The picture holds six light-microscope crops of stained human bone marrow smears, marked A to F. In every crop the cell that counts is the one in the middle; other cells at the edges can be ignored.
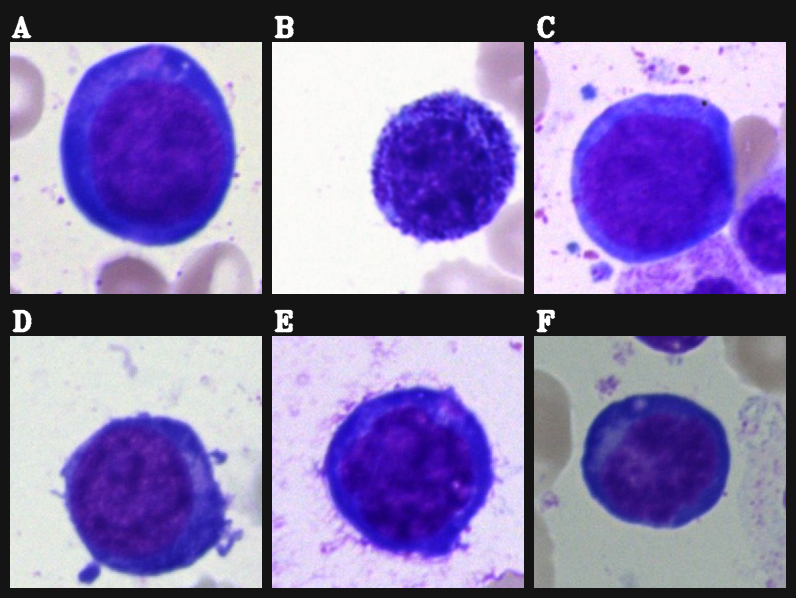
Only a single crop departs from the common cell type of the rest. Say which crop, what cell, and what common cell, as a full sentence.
All of the other crops show proerythroblasts; crop B, by contrast, is a promyelocyte.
